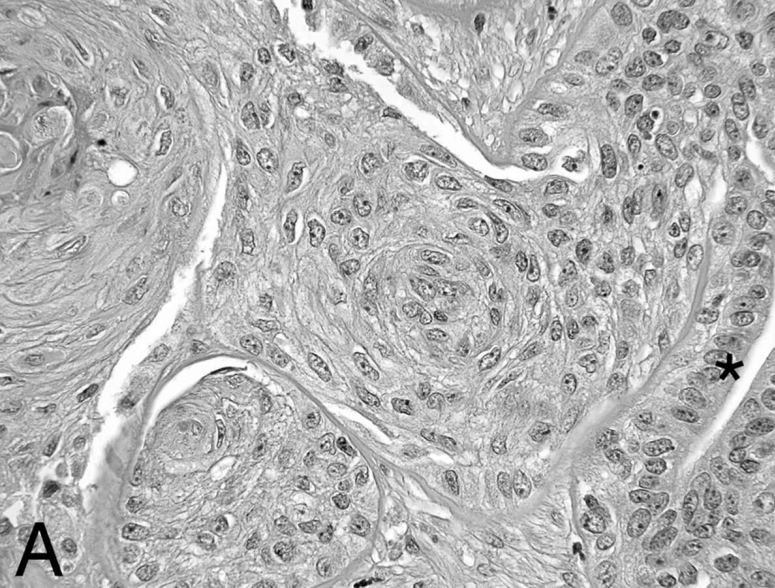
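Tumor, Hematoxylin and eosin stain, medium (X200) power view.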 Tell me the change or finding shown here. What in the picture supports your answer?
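Squamoid differentiation. Cells are arranged in concentric whorls. Nests of polygonal cells with more abundant cytoplasm form swirling, layered, pearl-like formations.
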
